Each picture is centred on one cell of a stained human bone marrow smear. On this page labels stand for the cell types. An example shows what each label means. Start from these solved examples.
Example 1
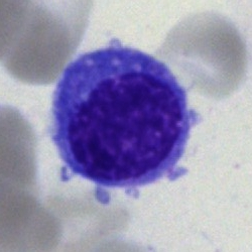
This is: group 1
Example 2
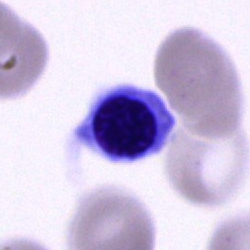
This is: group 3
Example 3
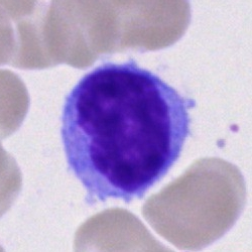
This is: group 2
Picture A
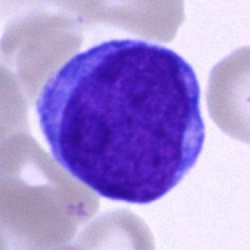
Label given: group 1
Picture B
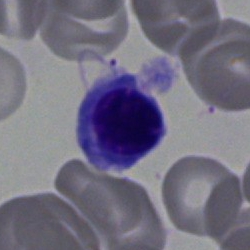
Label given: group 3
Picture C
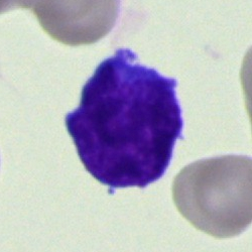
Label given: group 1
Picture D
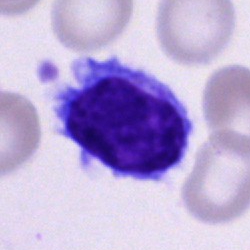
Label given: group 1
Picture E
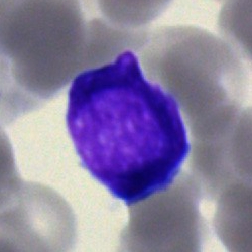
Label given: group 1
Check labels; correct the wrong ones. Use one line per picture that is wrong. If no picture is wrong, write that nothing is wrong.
D: change group 1 to group 2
